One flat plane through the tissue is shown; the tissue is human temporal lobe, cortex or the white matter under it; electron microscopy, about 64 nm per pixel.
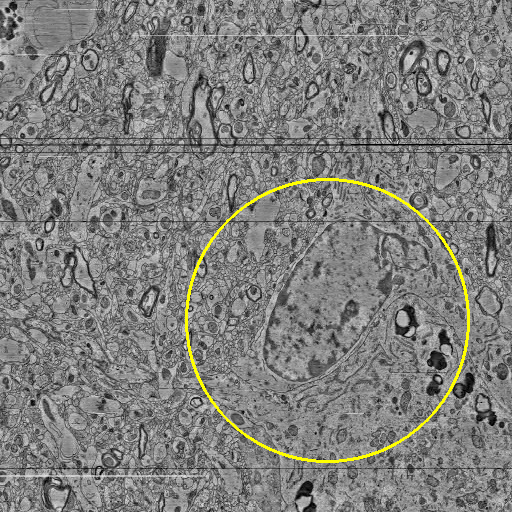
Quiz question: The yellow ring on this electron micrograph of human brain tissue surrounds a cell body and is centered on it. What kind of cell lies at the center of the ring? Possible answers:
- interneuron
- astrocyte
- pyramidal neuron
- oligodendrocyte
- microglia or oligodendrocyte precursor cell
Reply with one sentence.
The ring's center lies on a microglial cell or oligodendrocyte precursor cell.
